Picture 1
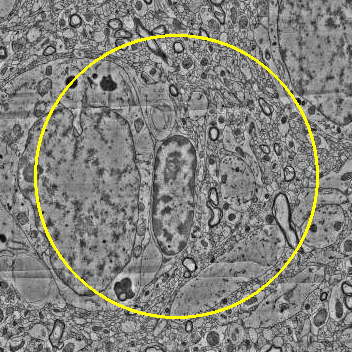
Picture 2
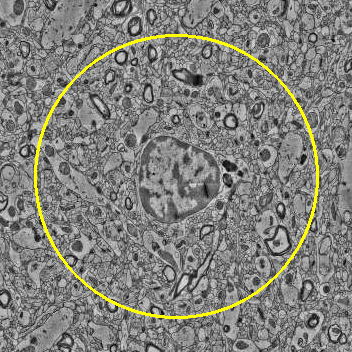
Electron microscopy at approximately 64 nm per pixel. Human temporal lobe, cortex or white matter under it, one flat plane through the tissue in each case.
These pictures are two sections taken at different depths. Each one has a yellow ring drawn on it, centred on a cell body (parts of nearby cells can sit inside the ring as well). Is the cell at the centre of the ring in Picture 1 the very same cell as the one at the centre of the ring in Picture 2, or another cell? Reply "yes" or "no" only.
no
